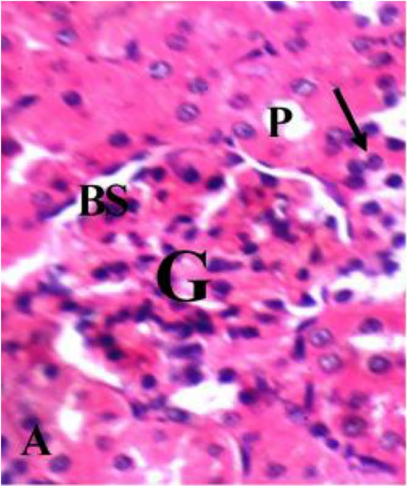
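A kidney cortex with a large glomerulus whose cellular tuft of purple nuclei nearly fills its capsule, leaving only a narrow Bowman's space. Surrounding proximal tubules are lined by cuboidal cells with pink cytoplasm and round central nuclei, and the interstitium between them is thin.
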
